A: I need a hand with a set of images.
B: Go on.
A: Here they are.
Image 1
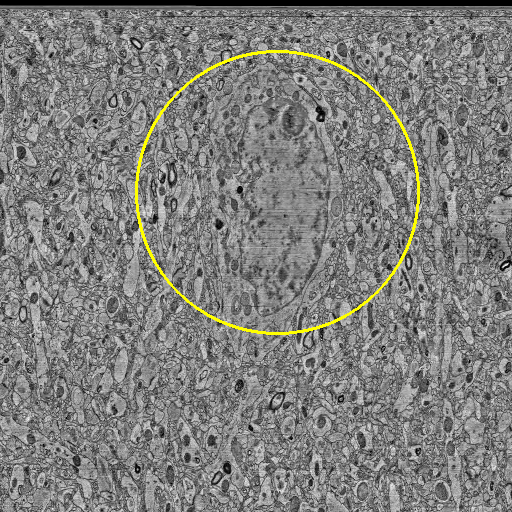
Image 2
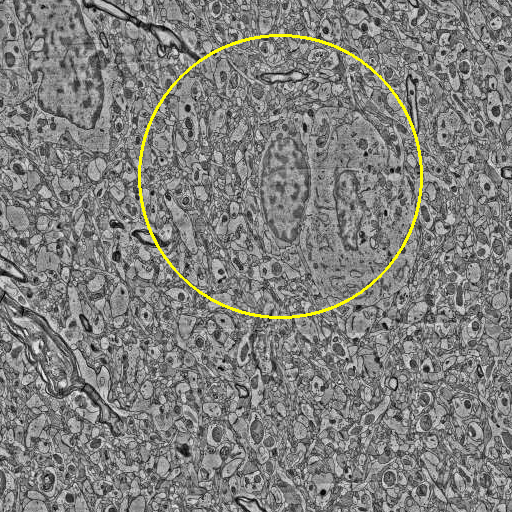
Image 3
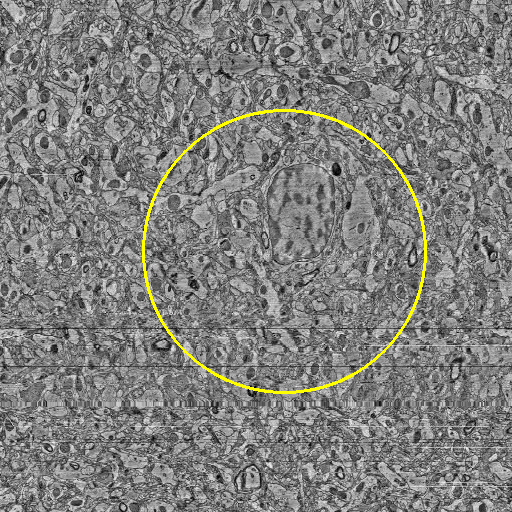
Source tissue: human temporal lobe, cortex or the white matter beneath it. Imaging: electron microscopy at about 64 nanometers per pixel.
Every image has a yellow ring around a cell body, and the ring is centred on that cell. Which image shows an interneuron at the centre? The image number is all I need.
1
